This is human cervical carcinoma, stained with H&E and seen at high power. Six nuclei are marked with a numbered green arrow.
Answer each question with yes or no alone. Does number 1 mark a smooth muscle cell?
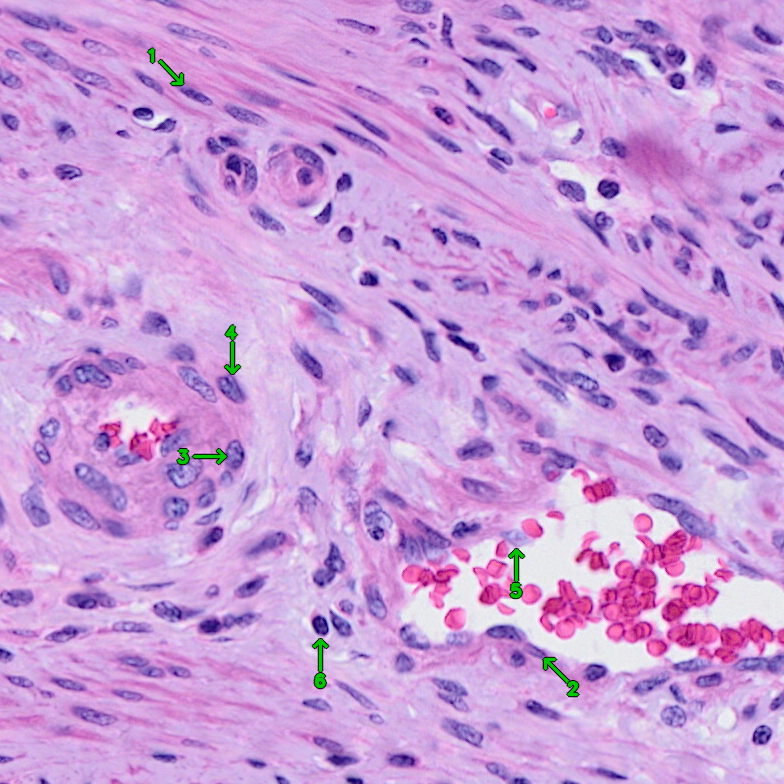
yes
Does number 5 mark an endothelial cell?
yes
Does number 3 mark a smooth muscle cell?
yes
